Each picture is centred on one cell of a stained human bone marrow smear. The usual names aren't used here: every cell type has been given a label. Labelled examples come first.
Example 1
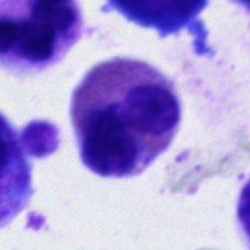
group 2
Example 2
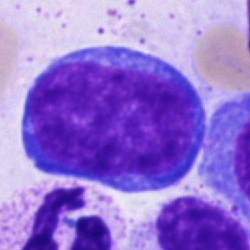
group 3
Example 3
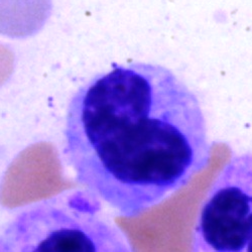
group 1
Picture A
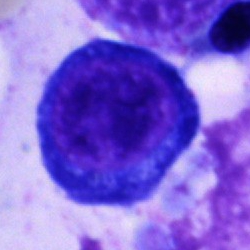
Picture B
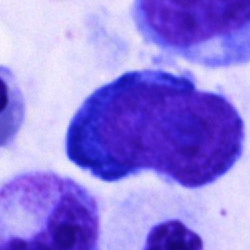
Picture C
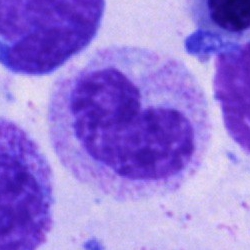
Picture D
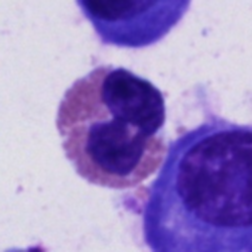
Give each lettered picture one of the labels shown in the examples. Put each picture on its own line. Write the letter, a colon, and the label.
A: group 3
B: group 3
C: group 1
D: group 2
